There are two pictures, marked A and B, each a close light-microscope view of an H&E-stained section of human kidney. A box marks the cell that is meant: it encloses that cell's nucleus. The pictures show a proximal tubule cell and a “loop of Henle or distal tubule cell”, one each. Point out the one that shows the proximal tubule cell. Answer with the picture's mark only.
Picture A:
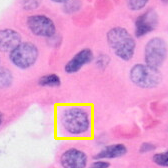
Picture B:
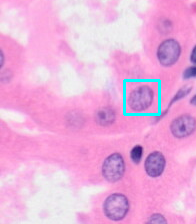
B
